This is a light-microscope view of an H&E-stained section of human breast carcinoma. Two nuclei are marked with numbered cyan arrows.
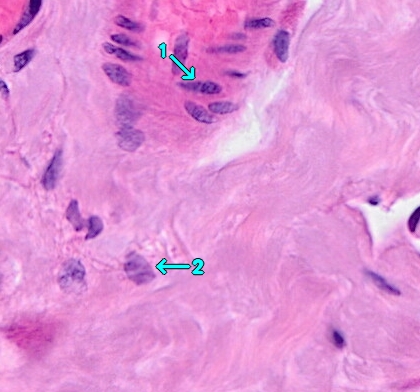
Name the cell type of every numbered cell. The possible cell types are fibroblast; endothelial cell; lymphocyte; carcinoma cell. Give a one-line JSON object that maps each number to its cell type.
{"1": "endothelial cell", "2": "fibroblast"}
